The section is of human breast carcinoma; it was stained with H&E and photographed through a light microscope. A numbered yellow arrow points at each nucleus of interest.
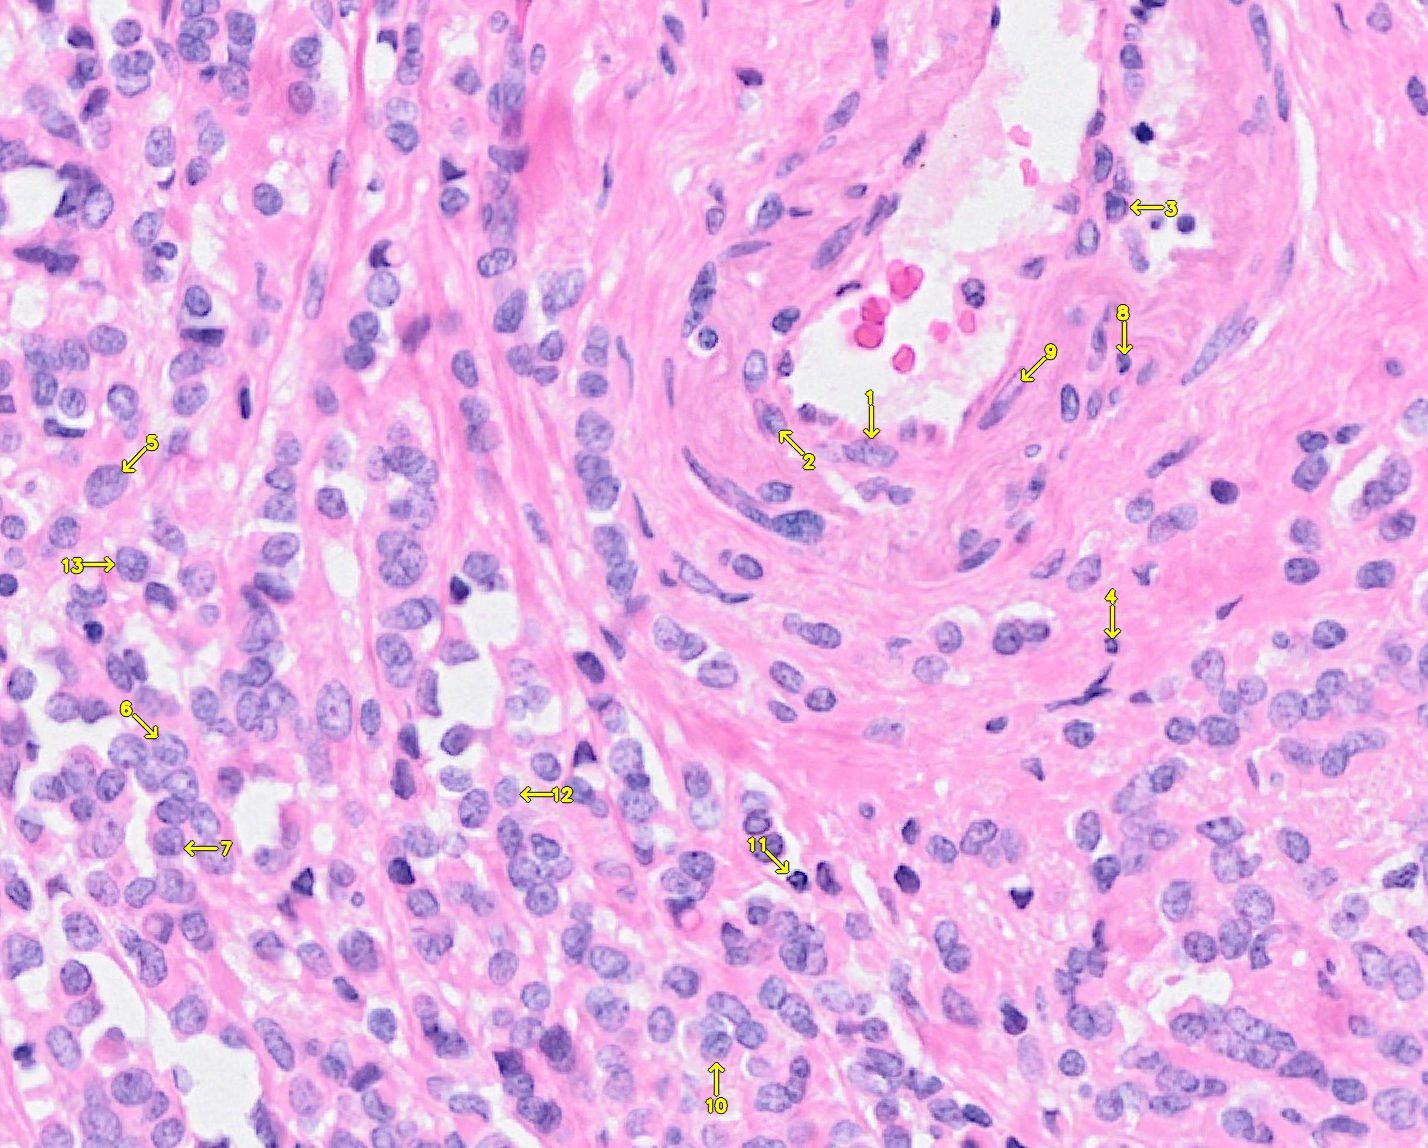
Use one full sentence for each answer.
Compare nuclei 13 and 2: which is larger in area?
Number 13 is larger; its area is about 1.5 times that of number 2.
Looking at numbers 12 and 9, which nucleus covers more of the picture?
At about 2 times the area of nucleus 12, nucleus 9 is the larger of the two.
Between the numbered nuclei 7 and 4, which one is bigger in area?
Number 7 is larger; its area is about 4 times that of number 4.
